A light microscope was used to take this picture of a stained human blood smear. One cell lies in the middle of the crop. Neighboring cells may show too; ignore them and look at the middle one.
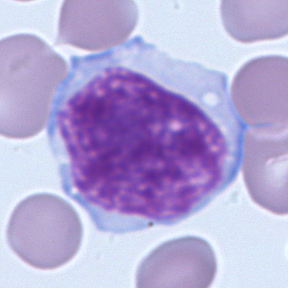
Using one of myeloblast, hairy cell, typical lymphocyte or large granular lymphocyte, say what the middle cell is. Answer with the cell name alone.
myeloblast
